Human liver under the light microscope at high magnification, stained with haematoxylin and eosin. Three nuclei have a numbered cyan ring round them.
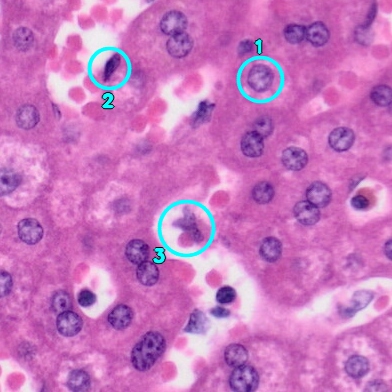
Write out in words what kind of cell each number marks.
Cell 1 is a hepatocyte. Cell 2 is a fibroblast or stellate cell. Cell 3 is a Kupffer cell.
